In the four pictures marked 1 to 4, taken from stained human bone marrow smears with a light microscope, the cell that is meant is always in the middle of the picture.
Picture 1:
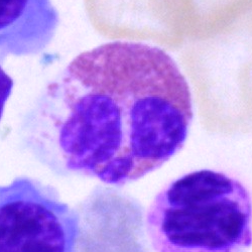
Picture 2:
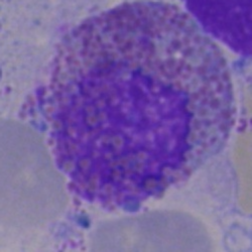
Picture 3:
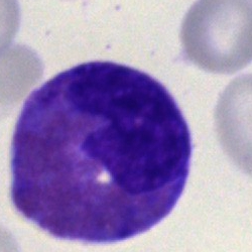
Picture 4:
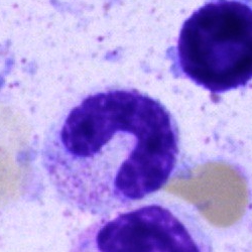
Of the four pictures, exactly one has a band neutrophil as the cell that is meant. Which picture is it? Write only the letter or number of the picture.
4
